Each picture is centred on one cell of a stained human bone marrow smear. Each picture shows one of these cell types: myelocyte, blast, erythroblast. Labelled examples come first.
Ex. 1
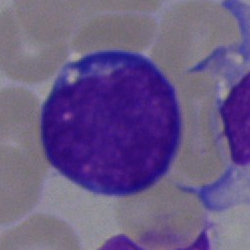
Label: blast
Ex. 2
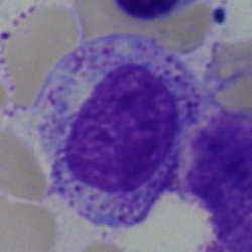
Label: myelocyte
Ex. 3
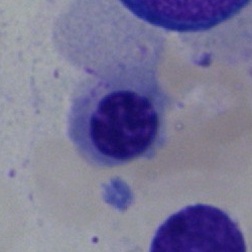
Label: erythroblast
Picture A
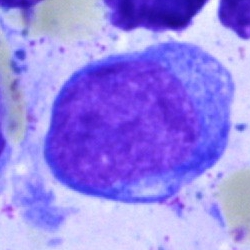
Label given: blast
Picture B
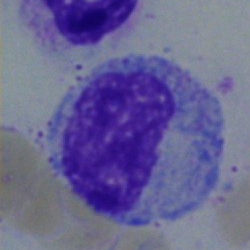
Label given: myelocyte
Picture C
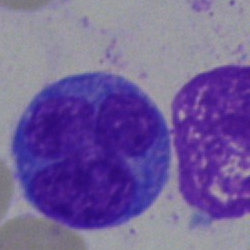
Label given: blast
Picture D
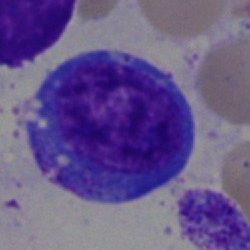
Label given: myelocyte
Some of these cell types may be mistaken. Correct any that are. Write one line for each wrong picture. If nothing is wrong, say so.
D: change myelocyte to blast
